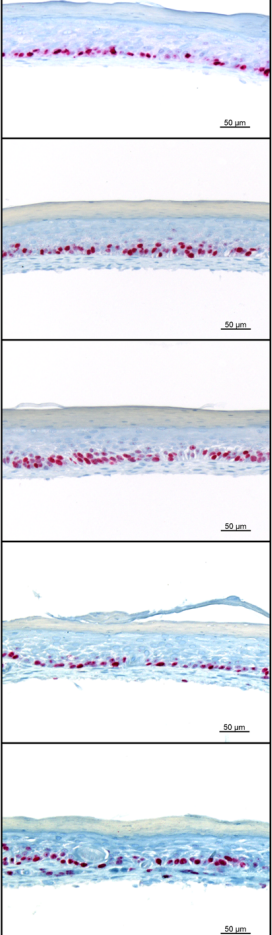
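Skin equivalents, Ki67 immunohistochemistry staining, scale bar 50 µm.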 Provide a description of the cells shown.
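Five thin sections of stratified epidermis are stacked one above another, each counterstained pale blue. In every one the lowest row of keratinocytes carries red-stained nuclei, lined up along the base of the epithelium. Above this basal row the cells become flatter and paler toward the surface. The number and crowding of red nuclei differs between sections, with some showing a denser band that is more than one cell deep.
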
